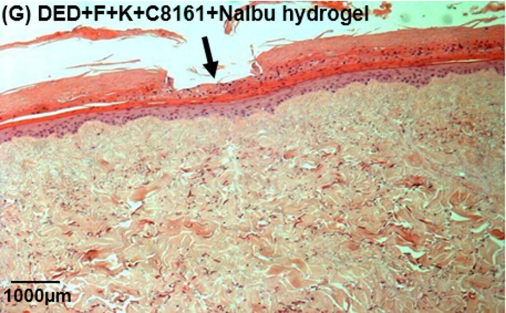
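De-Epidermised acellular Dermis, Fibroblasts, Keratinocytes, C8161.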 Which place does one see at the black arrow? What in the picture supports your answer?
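Wound. The arrow points to a small notch in the surface layers.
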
